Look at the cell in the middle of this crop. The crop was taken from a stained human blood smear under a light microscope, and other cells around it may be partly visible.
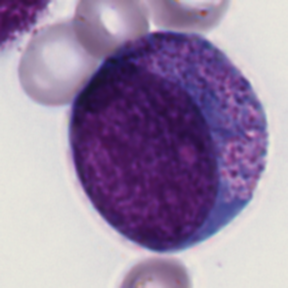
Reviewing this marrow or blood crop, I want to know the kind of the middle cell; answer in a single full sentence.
Occupying the centre of the crop is a promyelocyte.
